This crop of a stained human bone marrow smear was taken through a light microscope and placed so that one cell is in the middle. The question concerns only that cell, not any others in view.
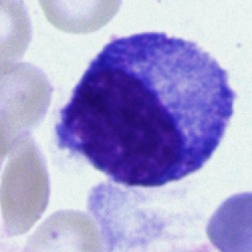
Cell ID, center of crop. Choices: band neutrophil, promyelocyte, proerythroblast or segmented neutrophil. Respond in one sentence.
At the middle of the frame sits a promyelocyte.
